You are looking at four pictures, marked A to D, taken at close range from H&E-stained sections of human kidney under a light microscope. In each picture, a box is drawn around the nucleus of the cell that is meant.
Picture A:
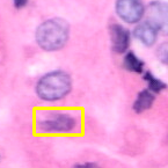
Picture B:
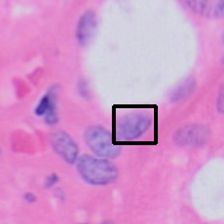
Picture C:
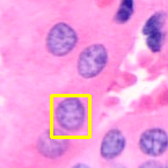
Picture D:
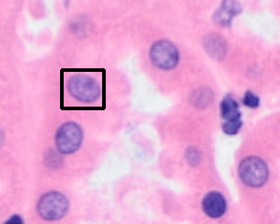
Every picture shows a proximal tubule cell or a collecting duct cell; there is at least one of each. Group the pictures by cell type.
A: proximal tubule cell
B: collecting duct cell
C: proximal tubule cell
D: proximal tubule cell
